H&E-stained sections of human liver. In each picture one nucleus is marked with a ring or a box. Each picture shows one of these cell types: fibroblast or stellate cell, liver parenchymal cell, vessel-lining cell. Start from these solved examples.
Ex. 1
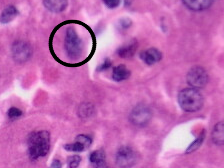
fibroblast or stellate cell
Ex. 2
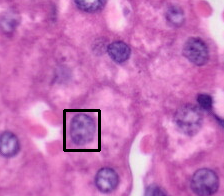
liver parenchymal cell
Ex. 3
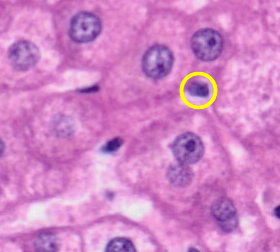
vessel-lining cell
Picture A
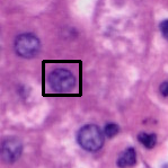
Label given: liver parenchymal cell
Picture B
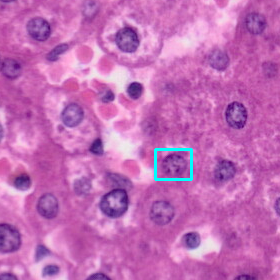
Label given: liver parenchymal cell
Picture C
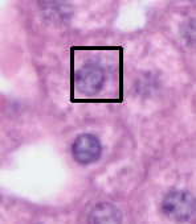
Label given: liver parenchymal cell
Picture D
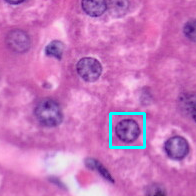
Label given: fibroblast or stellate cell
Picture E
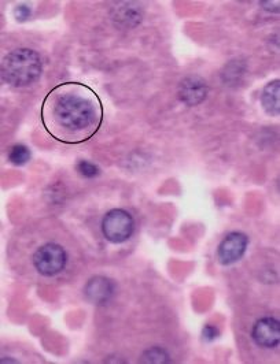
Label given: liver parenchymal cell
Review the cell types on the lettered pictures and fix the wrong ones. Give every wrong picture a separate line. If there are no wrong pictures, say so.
D is labelled fibroblast or stellate cell; correct label: liver parenchymal cell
